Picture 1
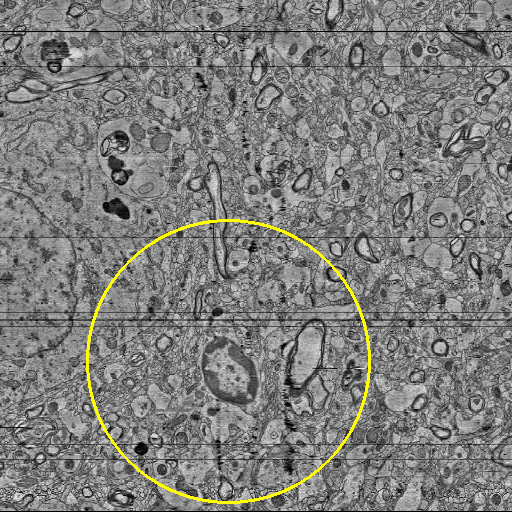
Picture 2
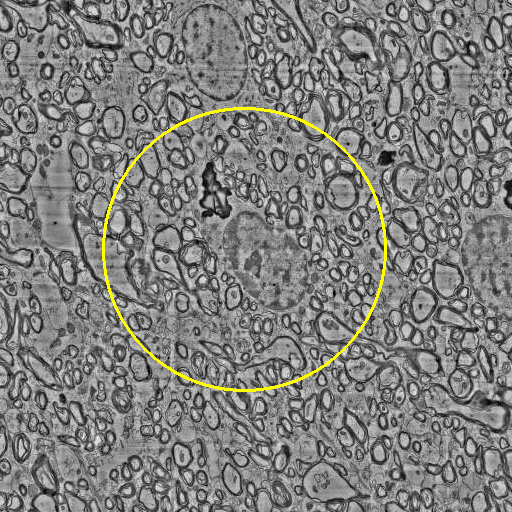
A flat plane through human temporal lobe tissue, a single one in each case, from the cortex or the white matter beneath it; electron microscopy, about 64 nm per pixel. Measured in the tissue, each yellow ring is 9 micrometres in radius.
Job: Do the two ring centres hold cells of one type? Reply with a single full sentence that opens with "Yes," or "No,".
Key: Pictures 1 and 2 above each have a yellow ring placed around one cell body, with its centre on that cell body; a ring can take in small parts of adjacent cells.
No, the cells at the two ring centres are of two separate types.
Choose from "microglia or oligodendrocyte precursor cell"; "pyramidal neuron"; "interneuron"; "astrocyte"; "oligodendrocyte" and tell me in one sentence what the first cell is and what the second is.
What the first ring is centred on is a microglial cell or oligodendrocyte precursor cell; what the second ring is centred on is an oligodendrocyte.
